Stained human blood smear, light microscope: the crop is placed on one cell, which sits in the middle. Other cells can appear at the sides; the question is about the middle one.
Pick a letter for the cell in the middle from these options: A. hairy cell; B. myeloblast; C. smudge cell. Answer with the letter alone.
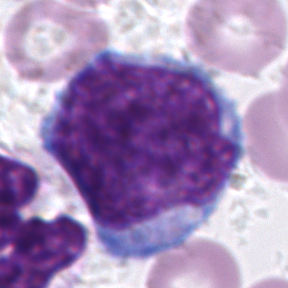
B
